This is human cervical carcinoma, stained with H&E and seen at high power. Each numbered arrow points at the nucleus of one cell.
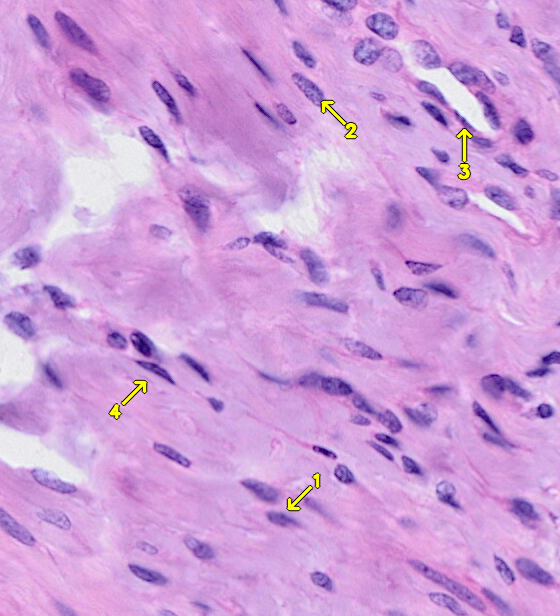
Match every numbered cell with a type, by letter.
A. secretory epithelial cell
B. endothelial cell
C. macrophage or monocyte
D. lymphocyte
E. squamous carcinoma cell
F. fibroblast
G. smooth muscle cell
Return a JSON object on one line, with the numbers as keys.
{"1": "F", "2": "F", "3": "B", "4": "F"}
